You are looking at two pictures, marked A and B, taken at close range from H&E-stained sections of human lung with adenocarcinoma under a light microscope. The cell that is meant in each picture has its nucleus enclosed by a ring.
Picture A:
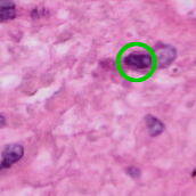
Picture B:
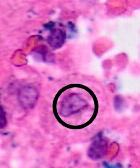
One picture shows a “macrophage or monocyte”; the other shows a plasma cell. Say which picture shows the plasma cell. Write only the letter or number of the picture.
A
